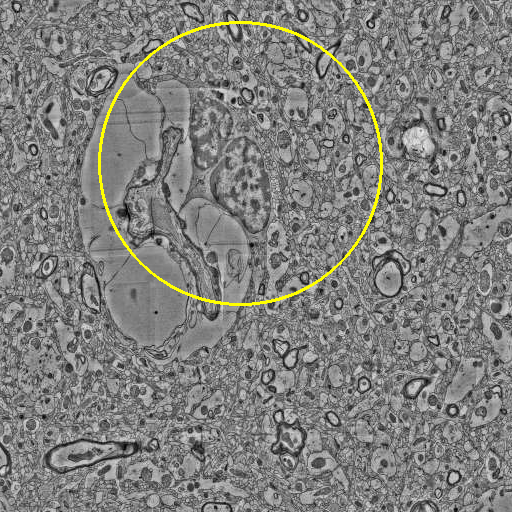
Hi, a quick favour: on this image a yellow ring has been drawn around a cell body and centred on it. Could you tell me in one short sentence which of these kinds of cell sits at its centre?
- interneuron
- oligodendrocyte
The ring is centred on an oligodendrocyte.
